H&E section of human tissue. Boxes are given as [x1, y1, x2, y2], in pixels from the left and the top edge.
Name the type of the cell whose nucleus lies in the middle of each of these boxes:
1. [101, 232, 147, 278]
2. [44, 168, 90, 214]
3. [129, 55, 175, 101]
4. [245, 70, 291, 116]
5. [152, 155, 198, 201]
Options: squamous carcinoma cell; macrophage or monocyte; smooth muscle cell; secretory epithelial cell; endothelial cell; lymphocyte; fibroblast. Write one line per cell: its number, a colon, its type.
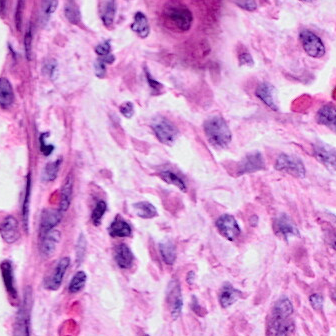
1: macrophage or monocyte
2: endothelial cell
3: fibroblast
4: endothelial cell
5: fibroblast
